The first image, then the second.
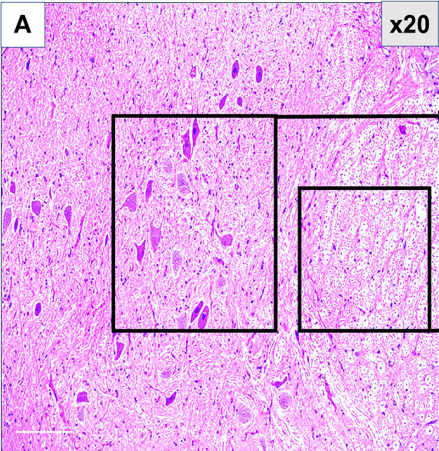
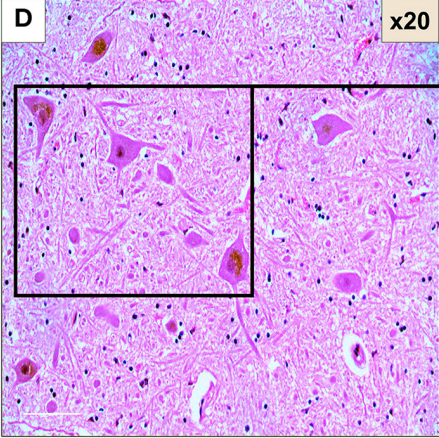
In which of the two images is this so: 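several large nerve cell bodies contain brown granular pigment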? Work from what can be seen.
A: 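The second image. Second image: several large cell bodies carry golden-brown granular deposits. First image: large cell bodies are uniformly pink-purple with no brown deposits.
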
